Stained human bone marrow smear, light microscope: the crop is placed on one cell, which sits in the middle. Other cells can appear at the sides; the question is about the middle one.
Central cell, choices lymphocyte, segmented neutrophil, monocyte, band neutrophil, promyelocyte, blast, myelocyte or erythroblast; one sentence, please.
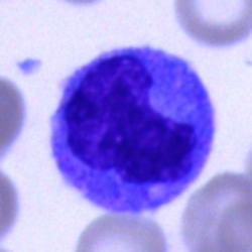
This particular crop is centered on a monocyte.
